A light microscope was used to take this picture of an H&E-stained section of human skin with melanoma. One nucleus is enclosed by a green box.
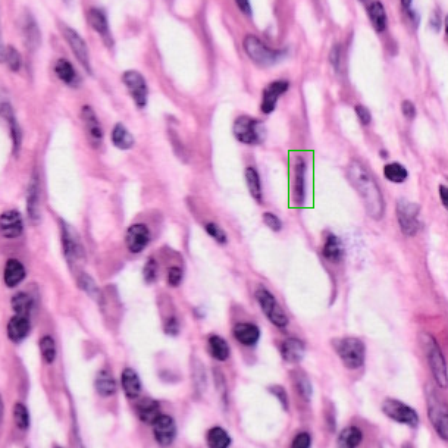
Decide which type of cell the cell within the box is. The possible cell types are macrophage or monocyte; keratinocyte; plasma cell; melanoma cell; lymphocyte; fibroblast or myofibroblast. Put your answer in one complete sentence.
By its classification, the cell within the box is a fibroblast or myofibroblast.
